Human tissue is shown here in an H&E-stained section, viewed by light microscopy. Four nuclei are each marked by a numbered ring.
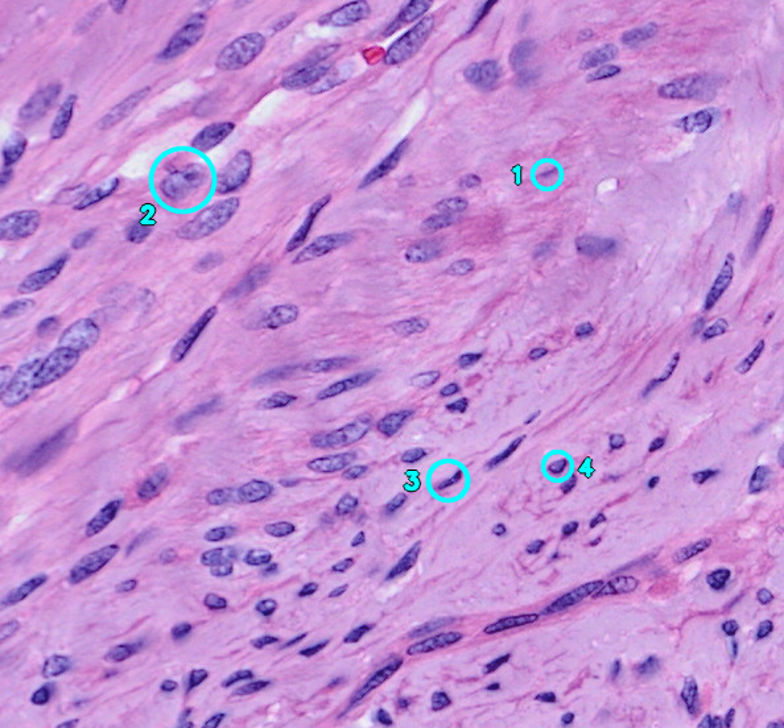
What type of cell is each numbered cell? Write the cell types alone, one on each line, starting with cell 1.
smooth muscle cell
endothelial cell
smooth muscle cell
smooth muscle cell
